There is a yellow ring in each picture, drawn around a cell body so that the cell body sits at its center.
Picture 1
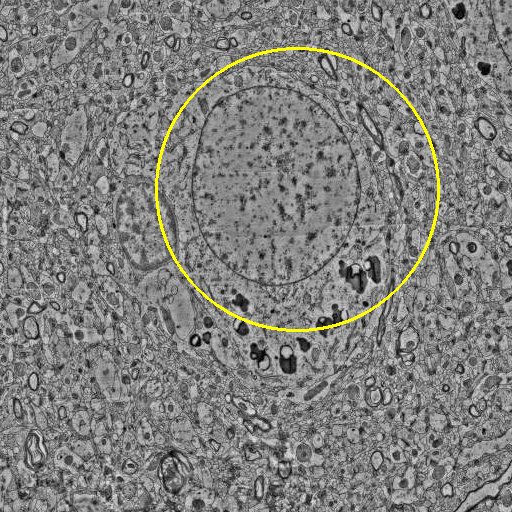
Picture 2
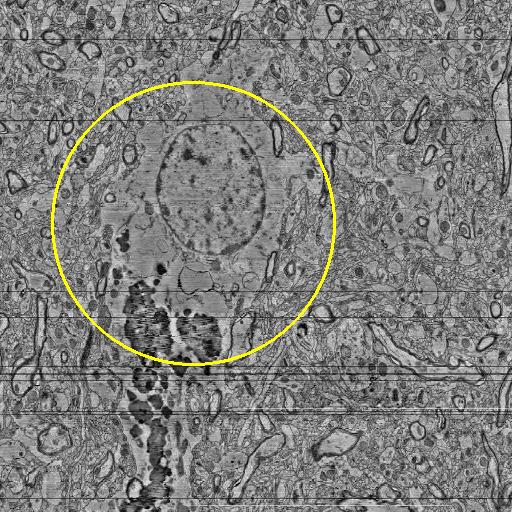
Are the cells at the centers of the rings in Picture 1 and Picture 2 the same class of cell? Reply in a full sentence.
No, the two cells are two classes of cell.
